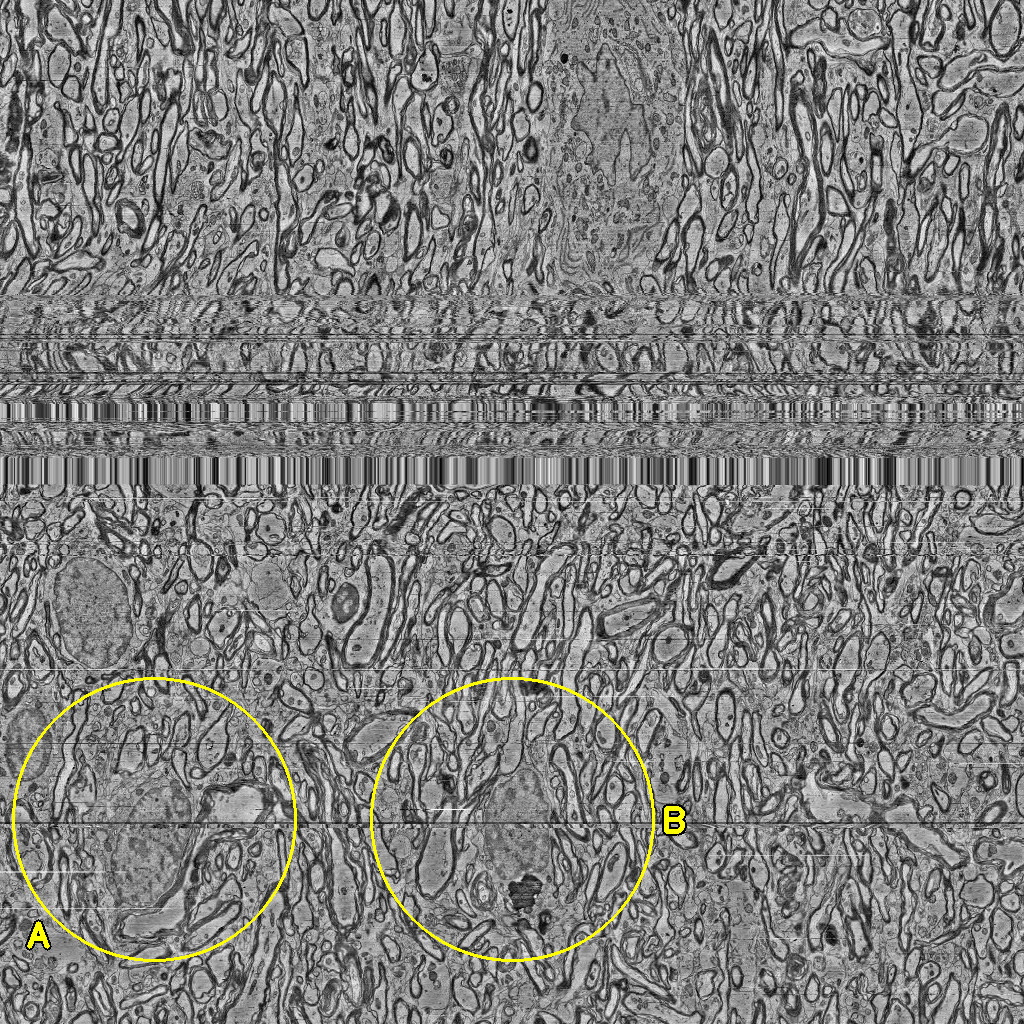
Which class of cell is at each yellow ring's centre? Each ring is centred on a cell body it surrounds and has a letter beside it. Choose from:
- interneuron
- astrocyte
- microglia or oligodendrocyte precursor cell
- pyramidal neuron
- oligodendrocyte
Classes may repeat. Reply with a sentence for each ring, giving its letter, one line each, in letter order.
The ring lettered A is centred on an oligodendrocyte.
The ring lettered B is centred on an oligodendrocyte.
